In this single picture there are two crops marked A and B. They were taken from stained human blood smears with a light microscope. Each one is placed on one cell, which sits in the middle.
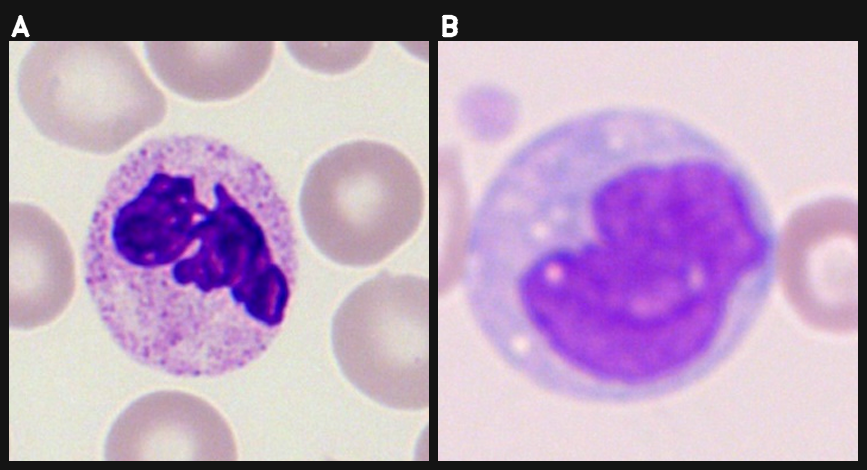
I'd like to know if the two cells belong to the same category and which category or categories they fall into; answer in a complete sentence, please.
No, in crop A there is a segmented neutrophil, and in crop B there is a monocyte.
